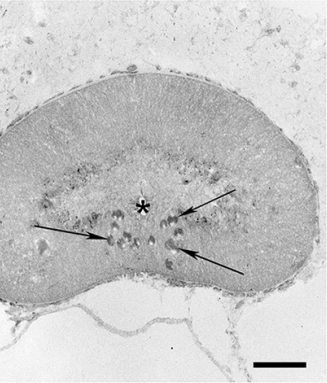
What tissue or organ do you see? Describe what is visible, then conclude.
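Spinal cord. The section is flattened and kidney-shaped, wider than it is tall. A thin membrane surrounds the whole section. A small midline canal lies at the centre.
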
